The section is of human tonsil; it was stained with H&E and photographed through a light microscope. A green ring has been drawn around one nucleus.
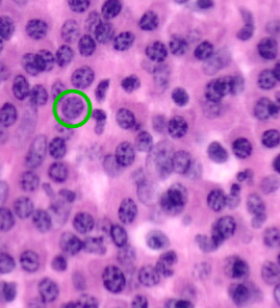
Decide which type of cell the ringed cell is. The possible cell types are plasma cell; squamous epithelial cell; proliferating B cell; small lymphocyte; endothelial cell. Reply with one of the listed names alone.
plasma cell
